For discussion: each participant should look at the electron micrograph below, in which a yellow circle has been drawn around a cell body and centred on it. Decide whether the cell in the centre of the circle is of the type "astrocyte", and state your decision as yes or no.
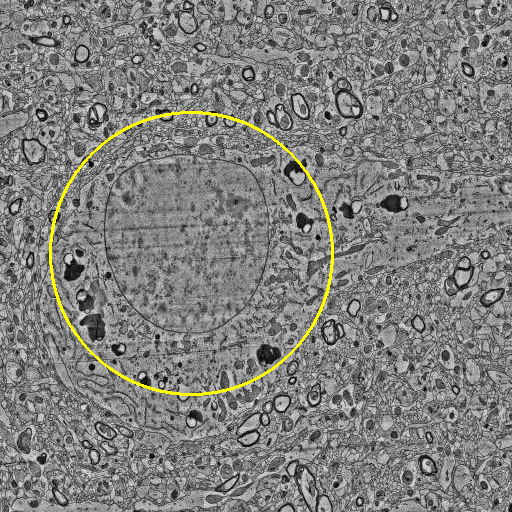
no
